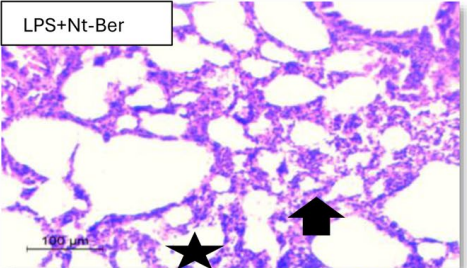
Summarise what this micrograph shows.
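Here we see lung parenchyma with alveoli whose walls are thickened by an inflammatory infiltrate. The septa stain pink to purple and are dotted with many small, dark nuclei, more than a thin normal wall would carry. In some areas the cellular walls merge into denser patches and the air spaces between them become small and irregular. Large white air spaces on the left contrast with these crowded areas. Near the bottom the regular pattern of the alveoli is lost, with fragmented septa, which reflects destruction of the parenchyma.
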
